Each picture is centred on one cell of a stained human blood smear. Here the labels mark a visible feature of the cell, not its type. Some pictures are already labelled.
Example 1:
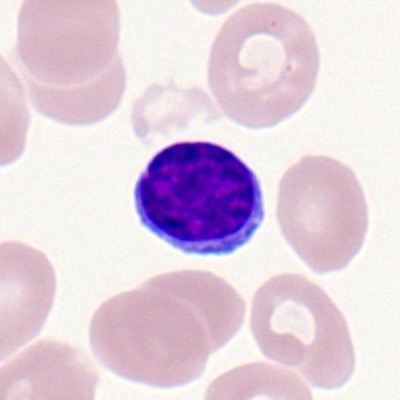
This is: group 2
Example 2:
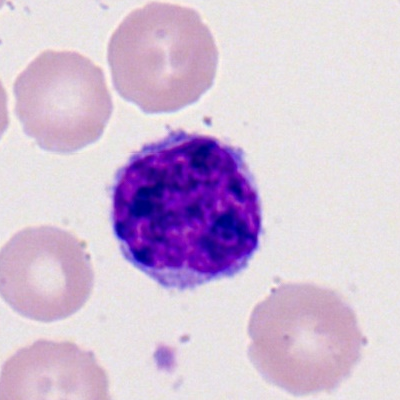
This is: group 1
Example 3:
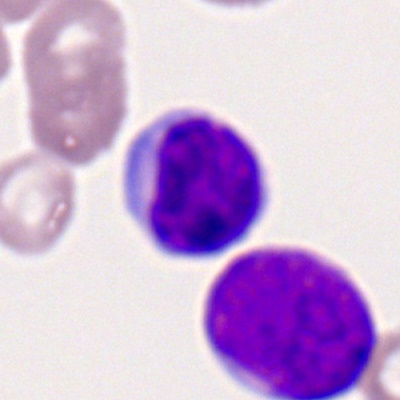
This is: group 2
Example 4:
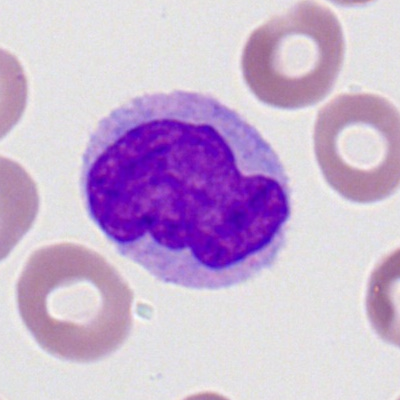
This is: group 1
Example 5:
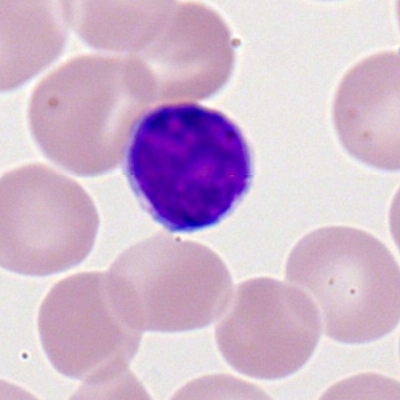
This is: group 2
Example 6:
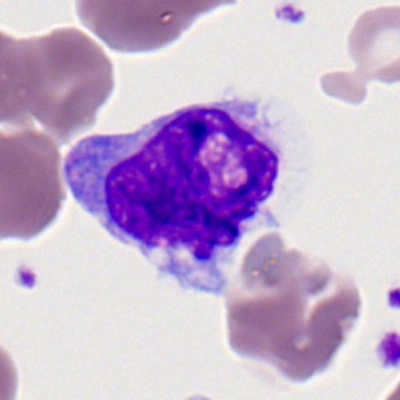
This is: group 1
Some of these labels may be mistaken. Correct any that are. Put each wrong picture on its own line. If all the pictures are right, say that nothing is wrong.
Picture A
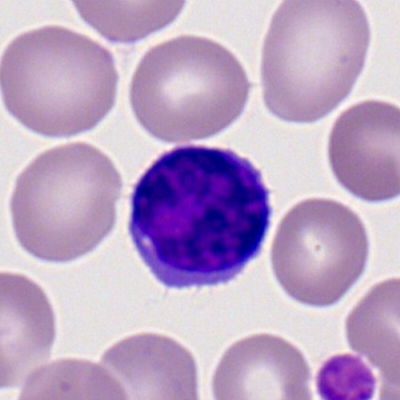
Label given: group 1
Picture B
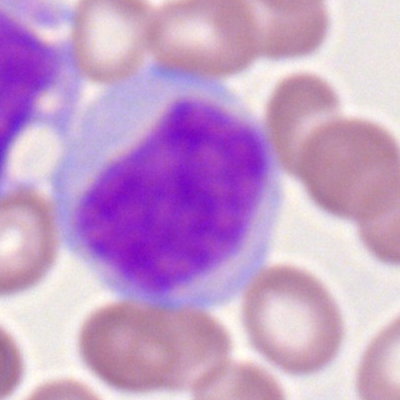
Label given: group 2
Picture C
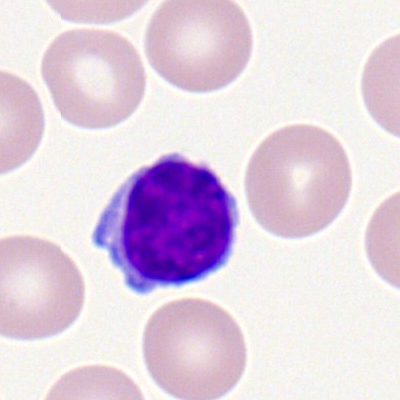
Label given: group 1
All labels are correct.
